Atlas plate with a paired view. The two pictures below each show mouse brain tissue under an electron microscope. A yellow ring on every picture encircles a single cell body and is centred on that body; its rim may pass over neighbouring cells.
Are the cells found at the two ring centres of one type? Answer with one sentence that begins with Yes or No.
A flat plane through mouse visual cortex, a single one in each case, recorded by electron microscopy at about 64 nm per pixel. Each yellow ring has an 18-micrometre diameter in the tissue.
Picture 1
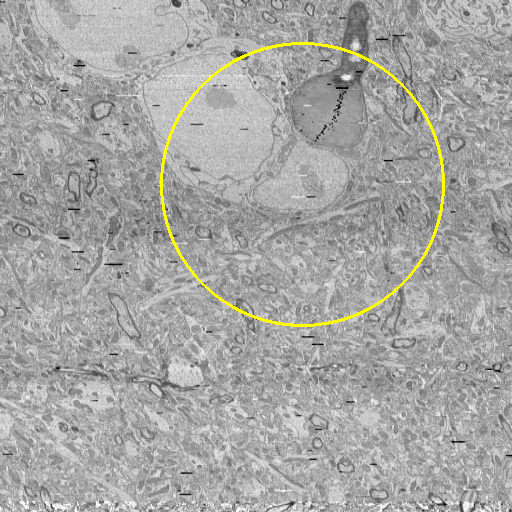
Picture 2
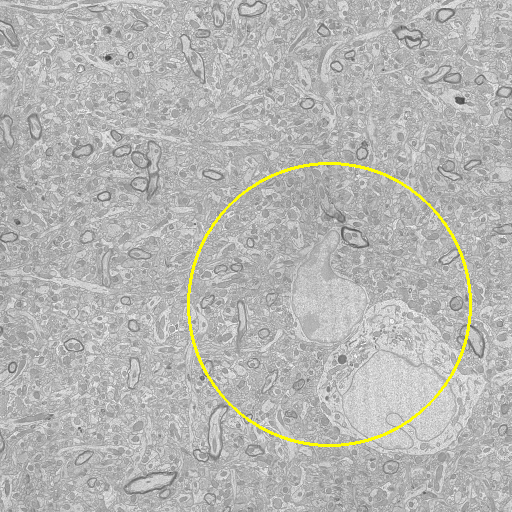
Yes, the two cells lying at the centres of the rings share a single type.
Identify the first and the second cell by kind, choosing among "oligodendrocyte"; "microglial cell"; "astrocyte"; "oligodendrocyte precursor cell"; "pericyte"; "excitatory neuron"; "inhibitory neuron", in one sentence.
Each of the two pictures has an oligodendrocyte precursor cell at the ring centre.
